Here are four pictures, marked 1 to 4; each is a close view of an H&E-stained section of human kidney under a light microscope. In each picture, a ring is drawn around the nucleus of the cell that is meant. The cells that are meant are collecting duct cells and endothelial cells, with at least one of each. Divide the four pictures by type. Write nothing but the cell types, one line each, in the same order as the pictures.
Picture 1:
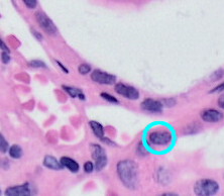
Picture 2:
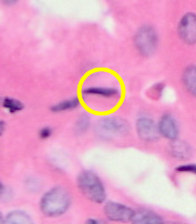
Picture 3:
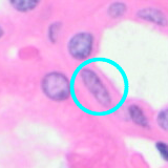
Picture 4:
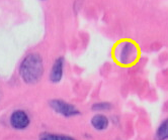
collecting duct cell
endothelial cell
collecting duct cell
endothelial cell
